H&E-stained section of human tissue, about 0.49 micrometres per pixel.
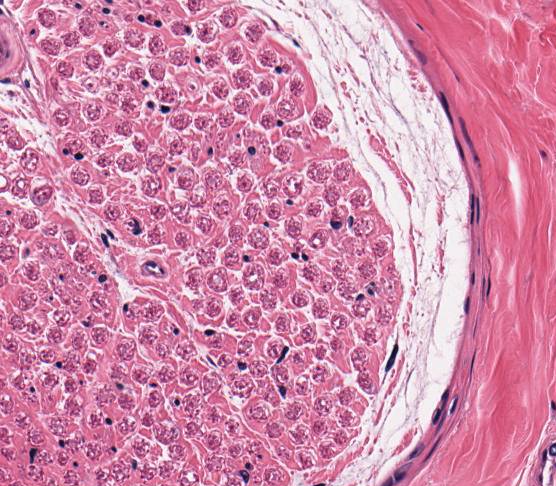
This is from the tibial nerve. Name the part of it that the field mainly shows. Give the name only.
nerve fascicle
